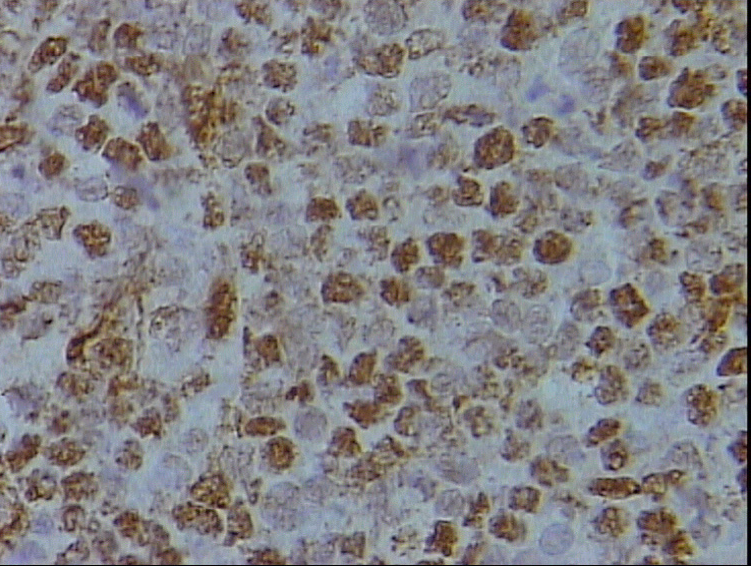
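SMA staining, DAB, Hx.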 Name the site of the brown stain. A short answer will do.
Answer: nuclear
